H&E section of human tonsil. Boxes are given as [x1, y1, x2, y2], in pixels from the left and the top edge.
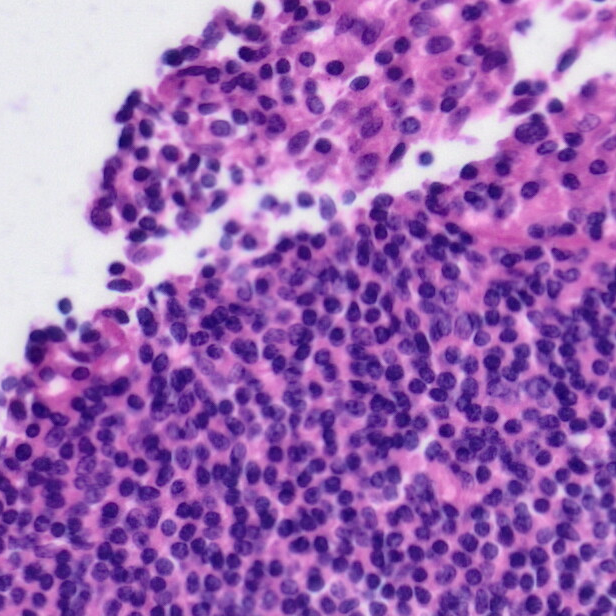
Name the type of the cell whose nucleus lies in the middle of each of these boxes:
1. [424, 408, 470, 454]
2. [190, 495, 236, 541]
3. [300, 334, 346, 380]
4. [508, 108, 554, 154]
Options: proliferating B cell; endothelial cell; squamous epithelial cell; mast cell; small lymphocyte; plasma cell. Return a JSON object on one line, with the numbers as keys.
{"1": "small lymphocyte", "2": "small lymphocyte", "3": "small lymphocyte", "4": "squamous epithelial cell"}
